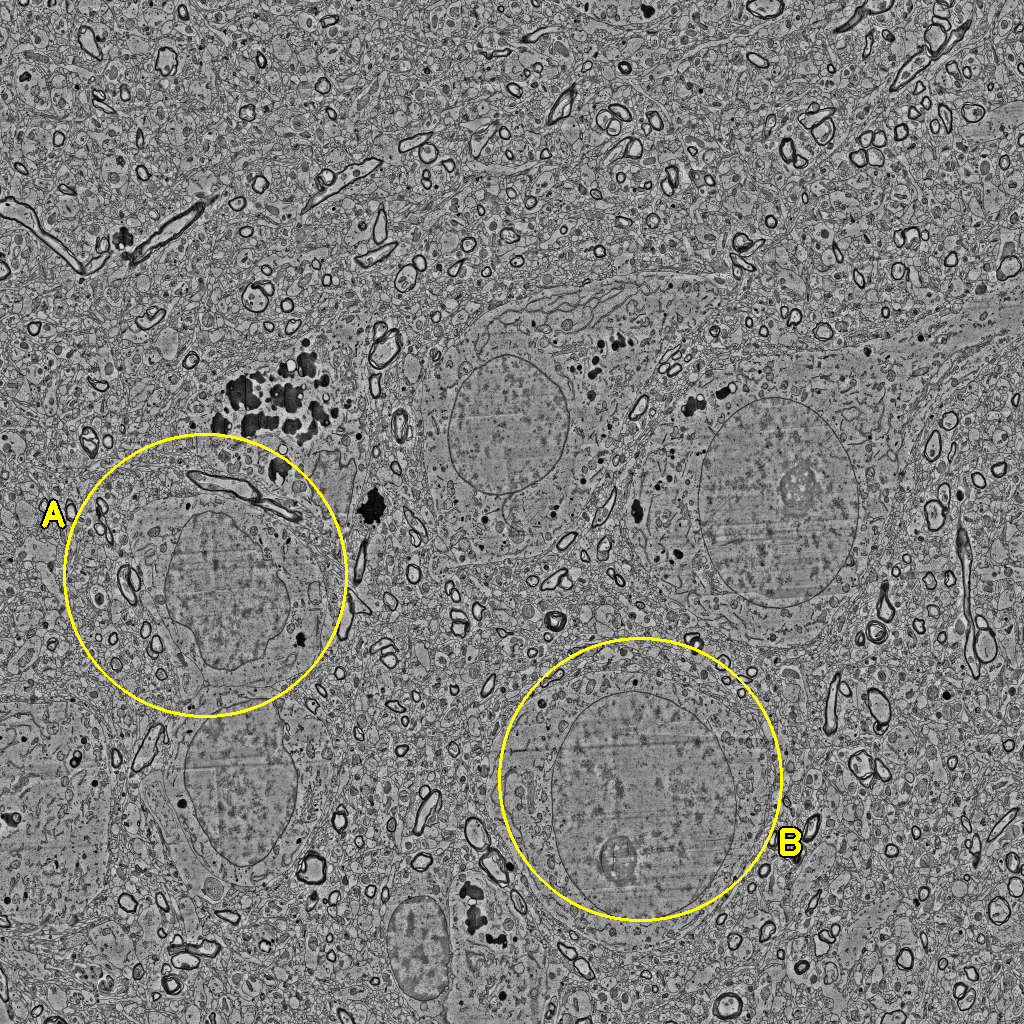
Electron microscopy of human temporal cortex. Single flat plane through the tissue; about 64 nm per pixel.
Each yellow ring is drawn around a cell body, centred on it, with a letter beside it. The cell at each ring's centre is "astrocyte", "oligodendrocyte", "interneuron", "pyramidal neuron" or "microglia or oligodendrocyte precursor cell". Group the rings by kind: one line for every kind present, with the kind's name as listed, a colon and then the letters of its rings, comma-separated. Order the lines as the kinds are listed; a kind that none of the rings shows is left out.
pyramidal neuron: A, B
